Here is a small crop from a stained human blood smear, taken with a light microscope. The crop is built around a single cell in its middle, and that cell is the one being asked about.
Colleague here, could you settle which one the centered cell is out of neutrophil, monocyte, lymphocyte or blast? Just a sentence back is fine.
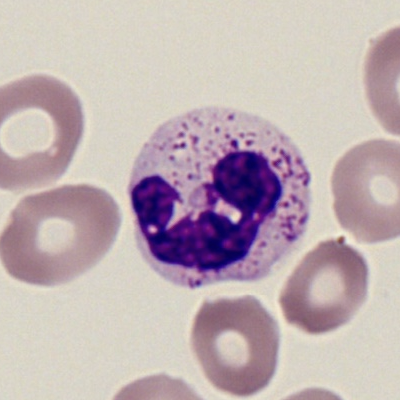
For this crop, the central cell is a neutrophil.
